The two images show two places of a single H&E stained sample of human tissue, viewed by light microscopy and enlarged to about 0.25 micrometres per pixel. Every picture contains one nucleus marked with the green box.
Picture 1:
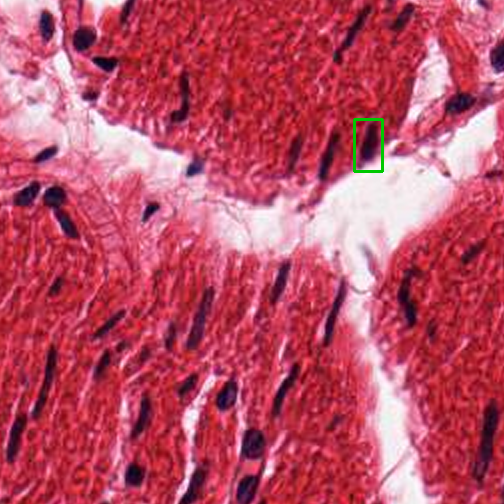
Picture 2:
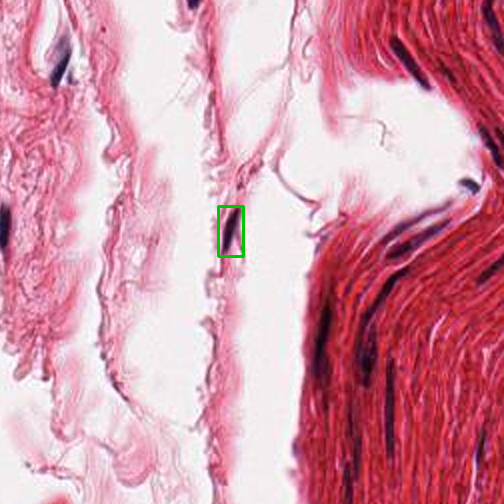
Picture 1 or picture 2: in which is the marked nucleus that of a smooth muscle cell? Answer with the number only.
1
